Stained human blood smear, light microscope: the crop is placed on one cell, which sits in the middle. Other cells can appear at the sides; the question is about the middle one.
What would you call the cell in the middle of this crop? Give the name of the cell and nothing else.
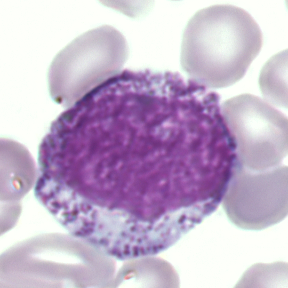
myelocyte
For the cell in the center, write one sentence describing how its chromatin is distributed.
Heads up, the chromatin is fine with no coarse clumps in it.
